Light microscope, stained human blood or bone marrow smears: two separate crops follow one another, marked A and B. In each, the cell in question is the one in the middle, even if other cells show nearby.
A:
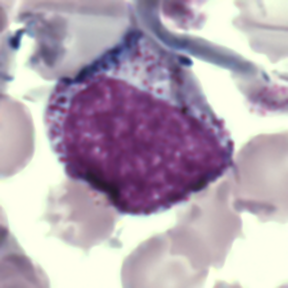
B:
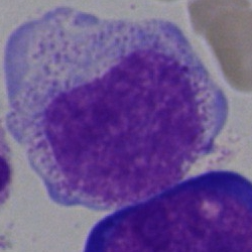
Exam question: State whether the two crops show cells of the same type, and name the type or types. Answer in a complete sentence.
Yes, both crops here show myelocytes, the pair of them.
